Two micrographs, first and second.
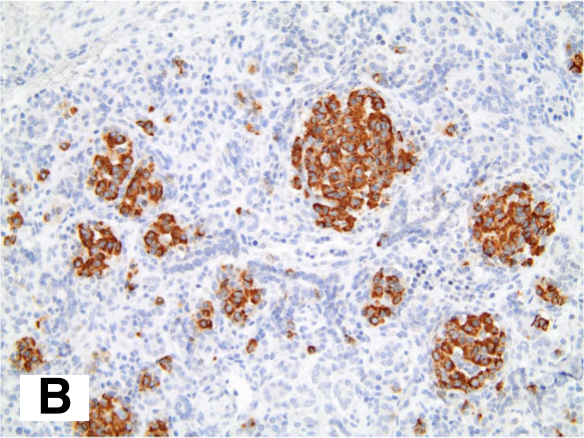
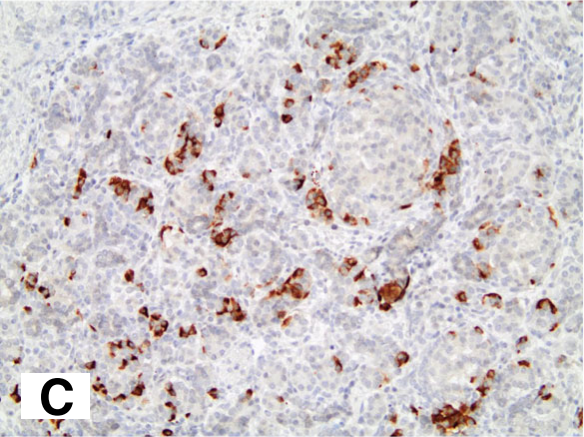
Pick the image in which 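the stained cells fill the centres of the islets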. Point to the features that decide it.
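Second image: brown cells sit mainly at the rims of pale rounded clusters, centres unstained. First image: brown stain fills whole rounded clusters including their centres.
Conclusion: the first image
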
